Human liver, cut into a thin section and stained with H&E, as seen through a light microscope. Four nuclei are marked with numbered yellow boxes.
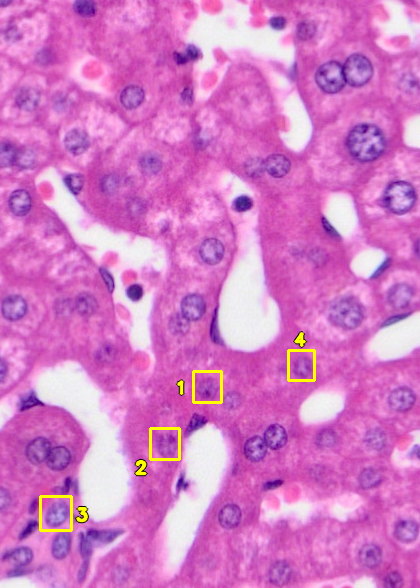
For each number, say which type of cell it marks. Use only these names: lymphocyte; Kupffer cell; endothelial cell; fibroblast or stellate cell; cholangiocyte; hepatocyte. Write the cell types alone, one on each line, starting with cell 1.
hepatocyte
hepatocyte
cholangiocyte
hepatocyte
